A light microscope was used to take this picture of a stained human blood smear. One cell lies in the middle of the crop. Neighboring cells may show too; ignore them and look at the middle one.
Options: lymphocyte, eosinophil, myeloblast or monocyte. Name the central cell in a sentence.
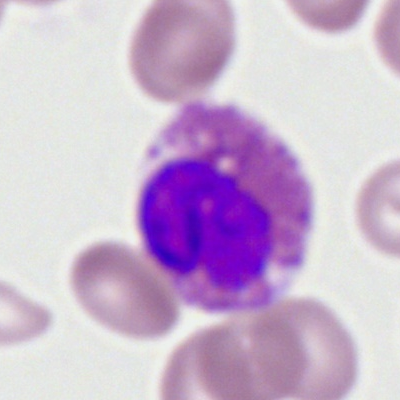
Among the cells in view, the one in the middle is an eosinophil.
